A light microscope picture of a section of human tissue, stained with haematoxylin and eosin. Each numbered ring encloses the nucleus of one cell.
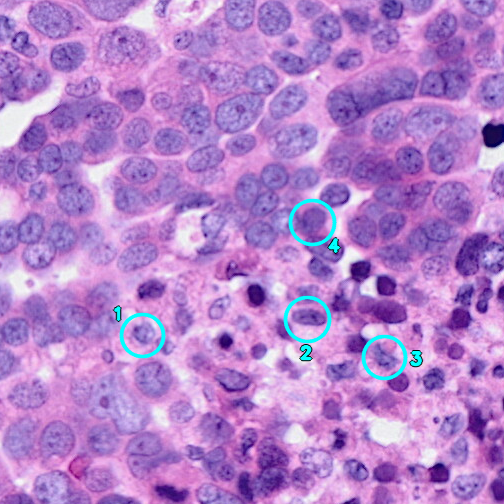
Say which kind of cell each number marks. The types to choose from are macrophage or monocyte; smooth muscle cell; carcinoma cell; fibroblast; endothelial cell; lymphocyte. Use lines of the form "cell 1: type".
cell 1: macrophage or monocyte
cell 2: macrophage or monocyte
cell 3: macrophage or monocyte
cell 4: carcinoma cell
